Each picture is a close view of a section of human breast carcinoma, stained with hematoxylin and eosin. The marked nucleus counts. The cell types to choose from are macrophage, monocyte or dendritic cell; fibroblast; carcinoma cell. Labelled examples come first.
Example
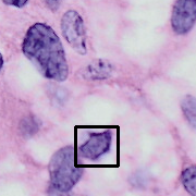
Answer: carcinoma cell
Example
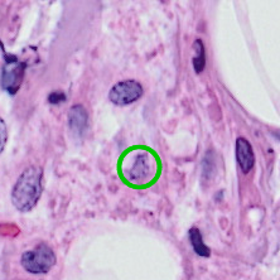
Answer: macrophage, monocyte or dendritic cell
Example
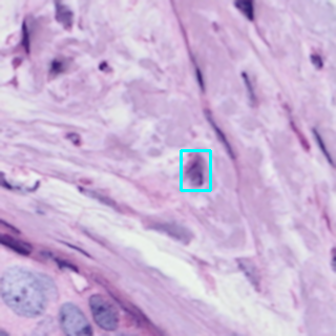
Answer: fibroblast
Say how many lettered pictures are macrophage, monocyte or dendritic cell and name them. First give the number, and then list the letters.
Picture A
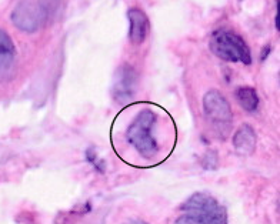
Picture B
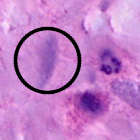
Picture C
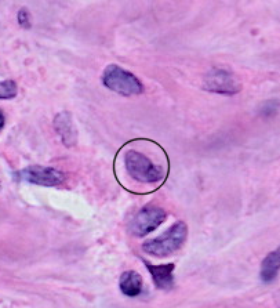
2, namely A, C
